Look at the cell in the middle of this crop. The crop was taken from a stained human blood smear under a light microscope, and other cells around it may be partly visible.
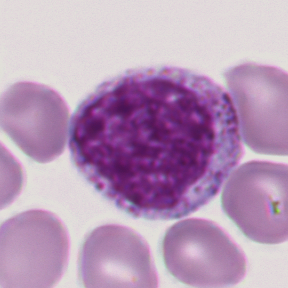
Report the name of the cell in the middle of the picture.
myelocyte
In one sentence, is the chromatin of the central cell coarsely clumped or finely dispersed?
Just so you know, its chromatin is coarsely clumped.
